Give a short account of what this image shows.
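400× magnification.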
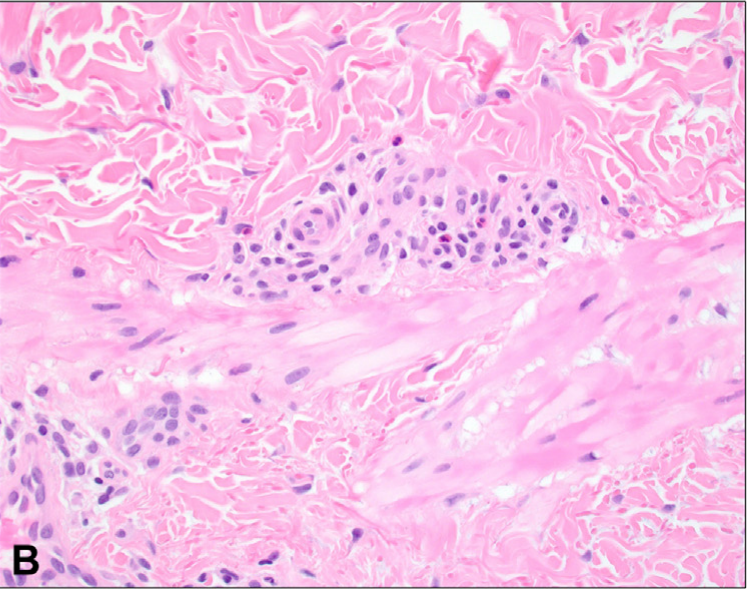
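Dermis of pink wavy collagen bundles with small clusters of inflammatory cells around vessels. Among the cells with oval dark nuclei, a few have bright red granular cytoplasm, typical of eosinophils.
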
